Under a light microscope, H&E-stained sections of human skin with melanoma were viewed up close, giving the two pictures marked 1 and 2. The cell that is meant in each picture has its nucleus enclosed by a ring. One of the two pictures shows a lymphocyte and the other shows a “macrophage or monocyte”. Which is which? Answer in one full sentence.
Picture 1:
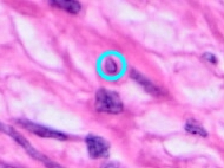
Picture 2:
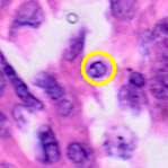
In picture 1 the cell is a “macrophage or monocyte”; in picture 2, a lymphocyte.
